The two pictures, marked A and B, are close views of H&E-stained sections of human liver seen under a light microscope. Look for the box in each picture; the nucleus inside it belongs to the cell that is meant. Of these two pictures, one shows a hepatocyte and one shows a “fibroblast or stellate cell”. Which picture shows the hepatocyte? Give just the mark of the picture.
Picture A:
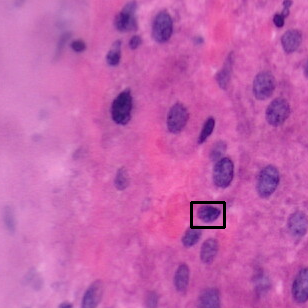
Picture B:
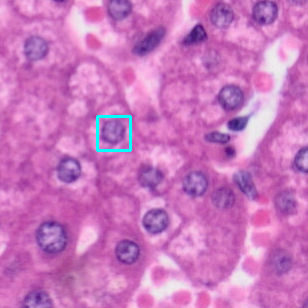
B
